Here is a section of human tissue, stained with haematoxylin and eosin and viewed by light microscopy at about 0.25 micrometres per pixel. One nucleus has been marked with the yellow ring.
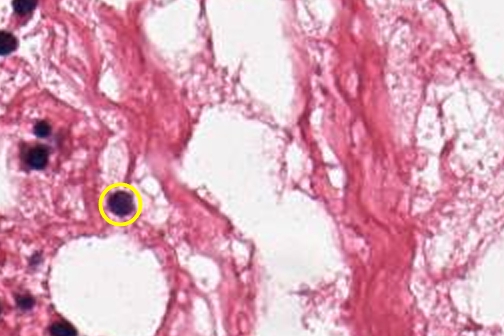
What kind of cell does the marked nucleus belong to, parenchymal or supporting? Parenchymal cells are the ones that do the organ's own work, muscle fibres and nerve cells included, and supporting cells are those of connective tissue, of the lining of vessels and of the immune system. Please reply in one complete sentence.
Here the marked nucleus is the nucleus of a supporting cell.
